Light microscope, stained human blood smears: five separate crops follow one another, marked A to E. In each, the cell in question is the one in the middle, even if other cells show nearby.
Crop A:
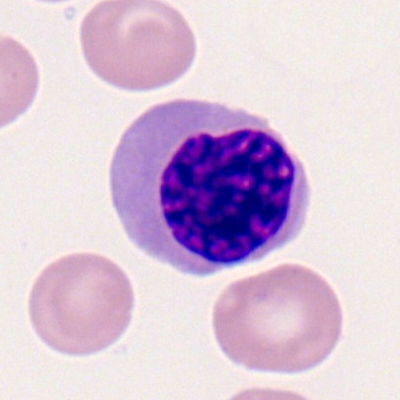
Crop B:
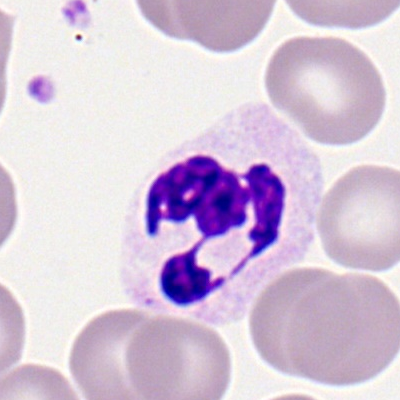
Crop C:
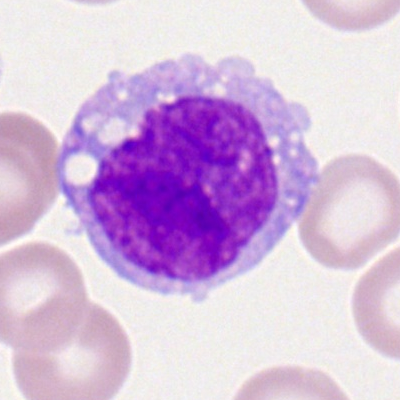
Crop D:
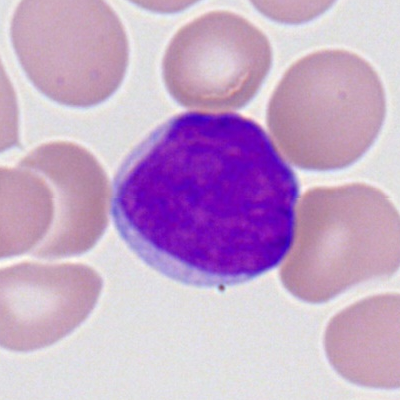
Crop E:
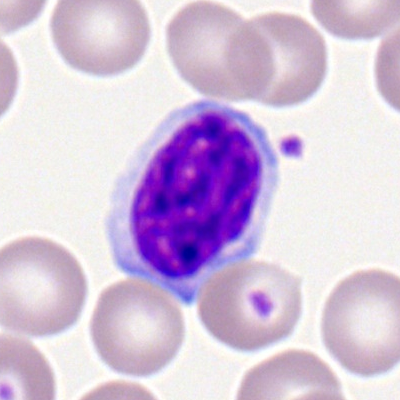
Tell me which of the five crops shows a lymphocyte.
E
